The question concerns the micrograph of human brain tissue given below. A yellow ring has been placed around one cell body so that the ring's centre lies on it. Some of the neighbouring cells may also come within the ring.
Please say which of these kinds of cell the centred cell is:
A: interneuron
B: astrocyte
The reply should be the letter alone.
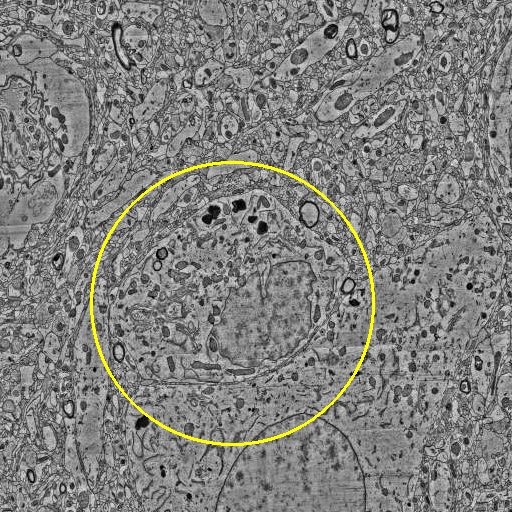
A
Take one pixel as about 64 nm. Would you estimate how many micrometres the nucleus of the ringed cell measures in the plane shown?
Approximately 8 micrometres long and 6 micrometres wide, in this plane.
